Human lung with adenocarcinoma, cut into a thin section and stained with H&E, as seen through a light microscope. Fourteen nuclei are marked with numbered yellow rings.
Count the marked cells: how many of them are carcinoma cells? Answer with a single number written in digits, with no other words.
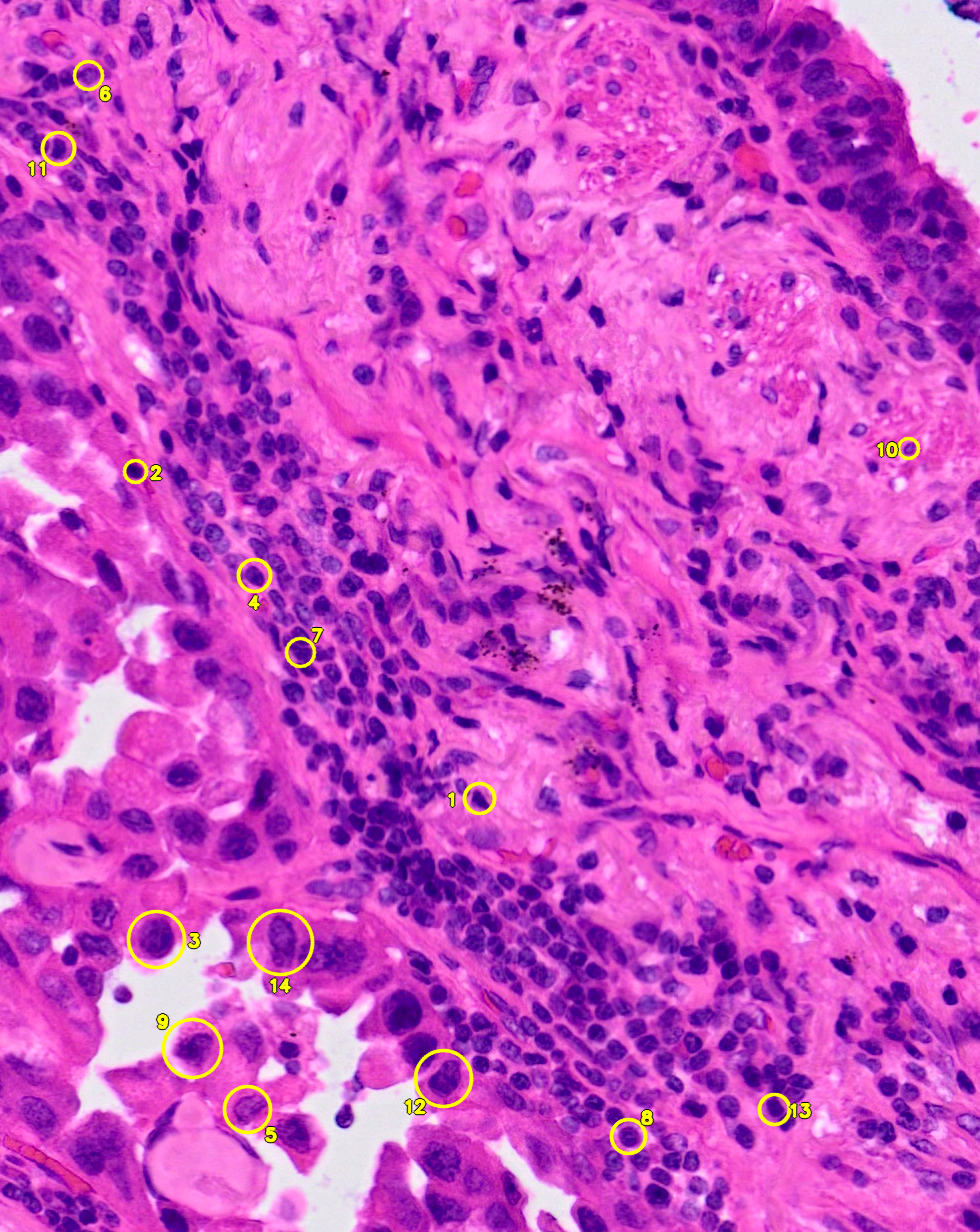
5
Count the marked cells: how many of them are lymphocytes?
8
